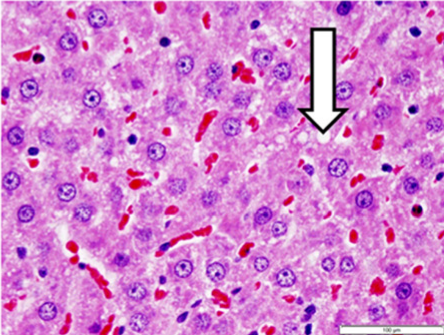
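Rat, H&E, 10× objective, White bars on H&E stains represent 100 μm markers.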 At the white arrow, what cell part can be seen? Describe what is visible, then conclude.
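The cytoplasm near the arrow is pale and finely holed with small clear spaces. Cells keep round purple nuclei. That points to this answer: cytosolic lipid vacuoles.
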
